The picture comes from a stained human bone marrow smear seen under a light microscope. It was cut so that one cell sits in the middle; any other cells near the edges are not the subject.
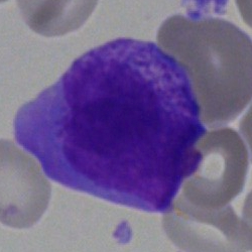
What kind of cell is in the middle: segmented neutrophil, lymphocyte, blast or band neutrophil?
blast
